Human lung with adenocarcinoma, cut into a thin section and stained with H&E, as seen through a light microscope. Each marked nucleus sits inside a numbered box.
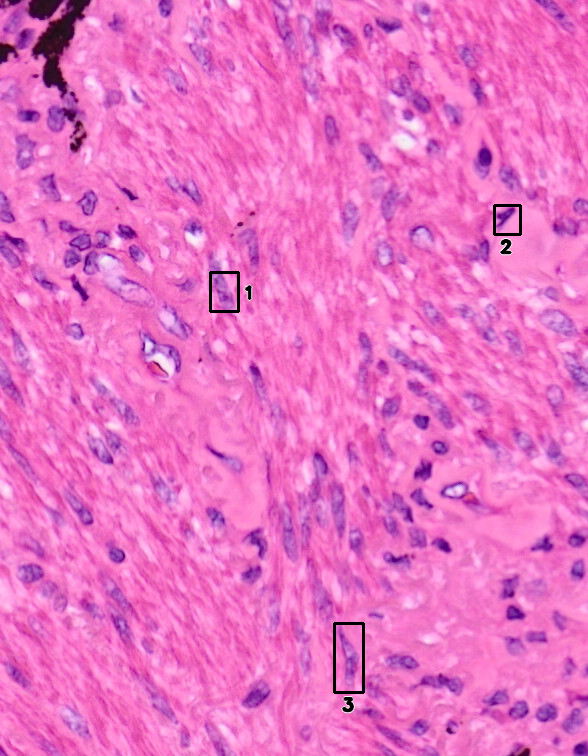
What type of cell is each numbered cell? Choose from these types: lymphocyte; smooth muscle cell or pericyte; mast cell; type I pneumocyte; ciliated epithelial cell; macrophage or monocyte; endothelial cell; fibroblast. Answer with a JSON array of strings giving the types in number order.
["smooth muscle cell or pericyte", "fibroblast", "smooth muscle cell or pericyte"]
